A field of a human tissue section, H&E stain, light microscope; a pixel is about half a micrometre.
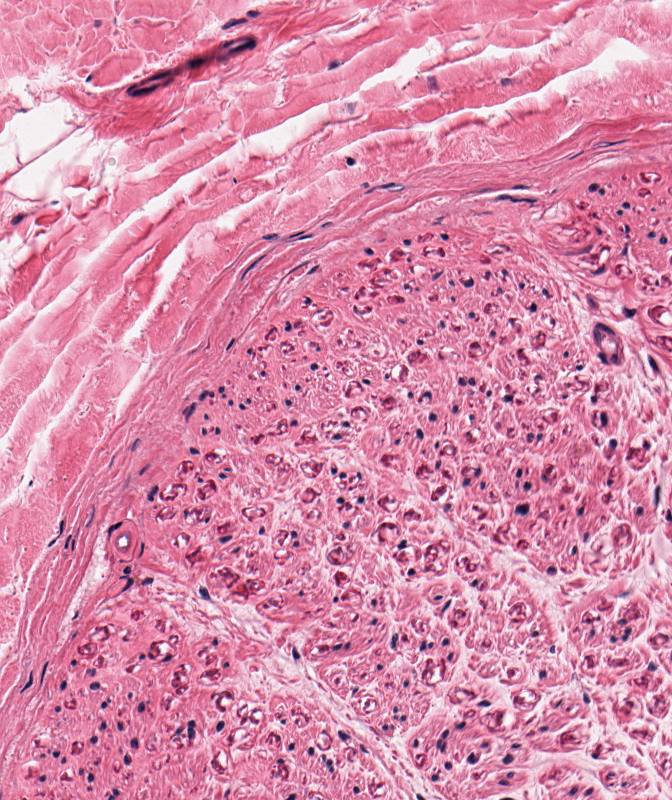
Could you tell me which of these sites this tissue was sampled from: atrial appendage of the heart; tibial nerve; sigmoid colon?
tibial nerve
